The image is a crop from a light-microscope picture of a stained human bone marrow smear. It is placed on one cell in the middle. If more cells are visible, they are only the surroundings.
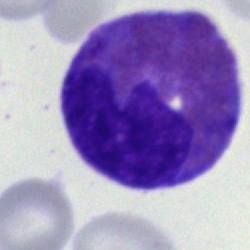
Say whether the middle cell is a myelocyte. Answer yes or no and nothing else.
no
